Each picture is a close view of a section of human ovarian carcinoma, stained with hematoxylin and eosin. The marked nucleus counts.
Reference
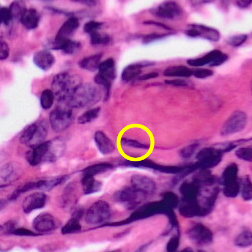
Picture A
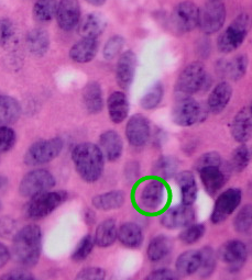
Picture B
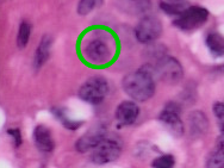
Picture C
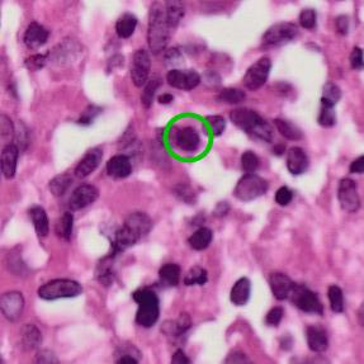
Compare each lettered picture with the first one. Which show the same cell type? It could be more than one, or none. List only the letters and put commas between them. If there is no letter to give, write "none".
none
